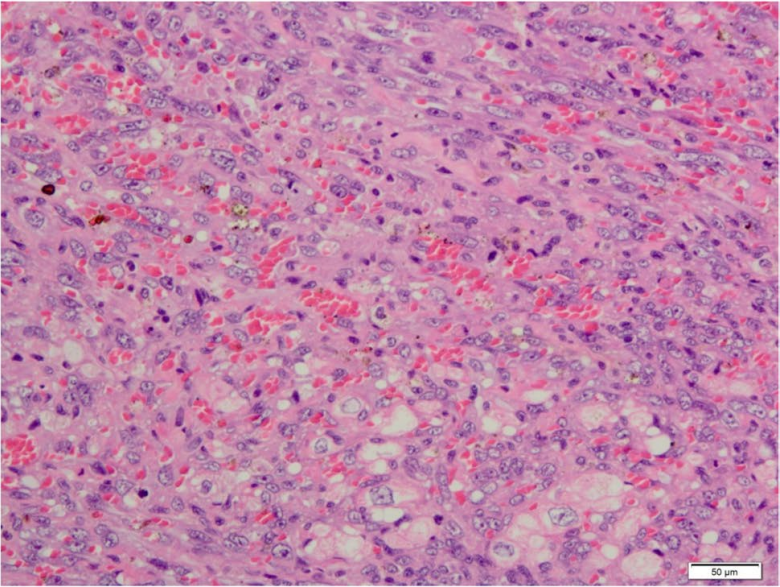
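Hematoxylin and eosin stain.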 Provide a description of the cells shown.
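This high-power view shows a dense sheet of fusiform tumor cells with pink cytoplasm, many of them spindle-shaped and running in loose parallel streams. Their nuclei are large, oval to elongated, with open chromatin and distinct nucleoli, and they vary in size and shape. Bright red blood cells lie in clusters and channels between the tumor cells, and a few cells carry golden-brown pigment granules. Toward the lower part some cells have pale, bubbly, vacuolated cytoplasm.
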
